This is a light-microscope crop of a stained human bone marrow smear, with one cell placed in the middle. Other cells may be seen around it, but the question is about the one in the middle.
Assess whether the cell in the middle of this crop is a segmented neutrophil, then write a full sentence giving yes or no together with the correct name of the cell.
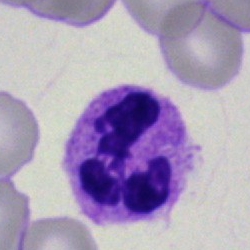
Yes, the cell lying in the middle is a segmented neutrophil.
